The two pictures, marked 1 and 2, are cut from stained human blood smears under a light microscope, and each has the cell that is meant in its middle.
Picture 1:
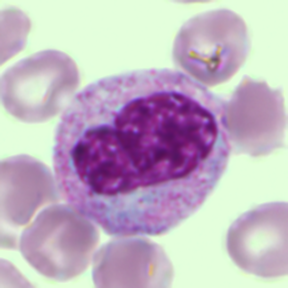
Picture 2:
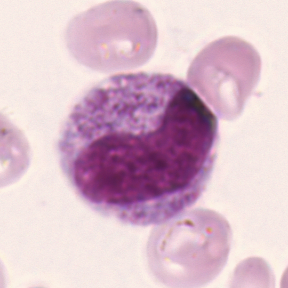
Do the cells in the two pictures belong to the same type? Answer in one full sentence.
Yes, both cells are metamyelocytes.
